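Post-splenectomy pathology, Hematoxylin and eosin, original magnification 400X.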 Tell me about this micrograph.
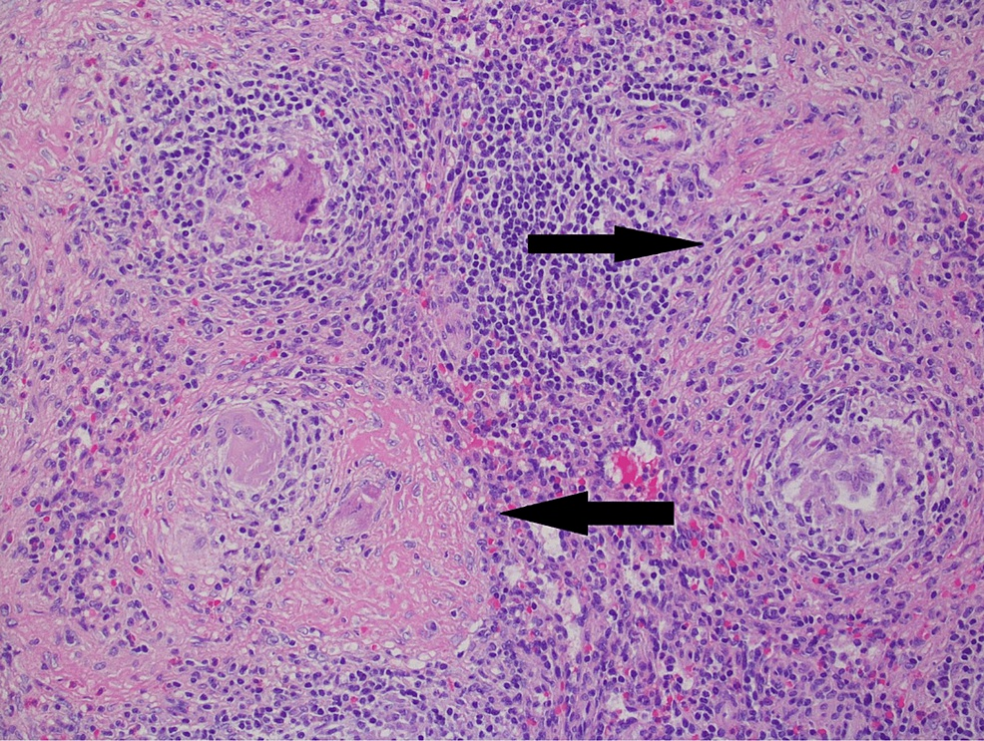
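Several rounded nodules of pale pink epithelioid histiocytes sit within a dense background of small dark round lymphoid cells. At the centre of some nodules lie large multinucleated cells with abundant pink cytoplasm and several nuclei. The nodules are wrapped by concentric spindle cells and bands of pale pink fibrous tissue, and their centres hold intact cells rather than necrotic debris. Together these are non-necrotizing granulomas with multinucleated cells and fibrosis.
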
